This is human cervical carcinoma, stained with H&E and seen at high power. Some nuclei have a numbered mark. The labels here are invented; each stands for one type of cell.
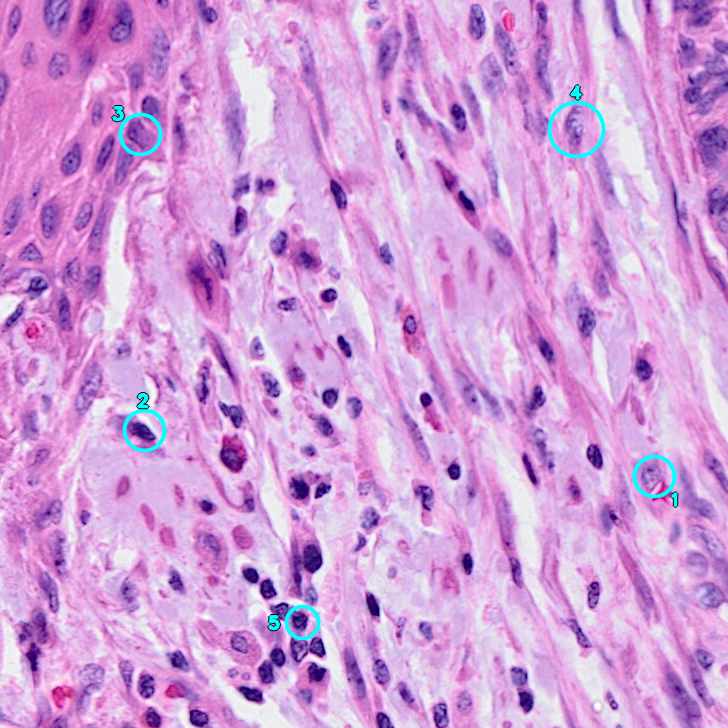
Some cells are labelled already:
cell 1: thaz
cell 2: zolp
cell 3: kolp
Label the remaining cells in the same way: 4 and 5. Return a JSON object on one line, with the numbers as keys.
{"4": "thaz", "5": "zolp"}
